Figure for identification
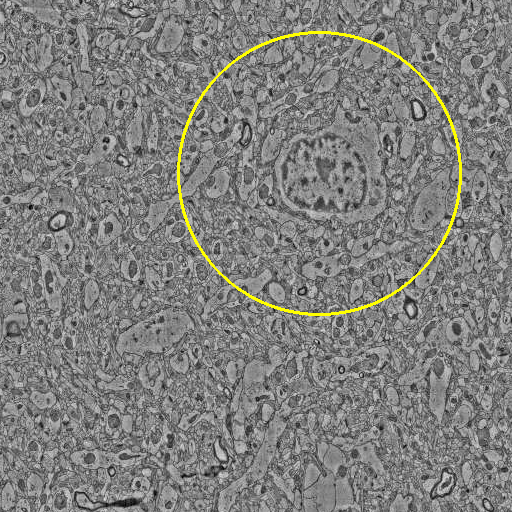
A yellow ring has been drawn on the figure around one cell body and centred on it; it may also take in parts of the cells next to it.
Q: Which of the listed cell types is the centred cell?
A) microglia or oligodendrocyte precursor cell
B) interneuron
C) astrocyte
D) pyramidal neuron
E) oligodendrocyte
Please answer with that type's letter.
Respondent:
A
